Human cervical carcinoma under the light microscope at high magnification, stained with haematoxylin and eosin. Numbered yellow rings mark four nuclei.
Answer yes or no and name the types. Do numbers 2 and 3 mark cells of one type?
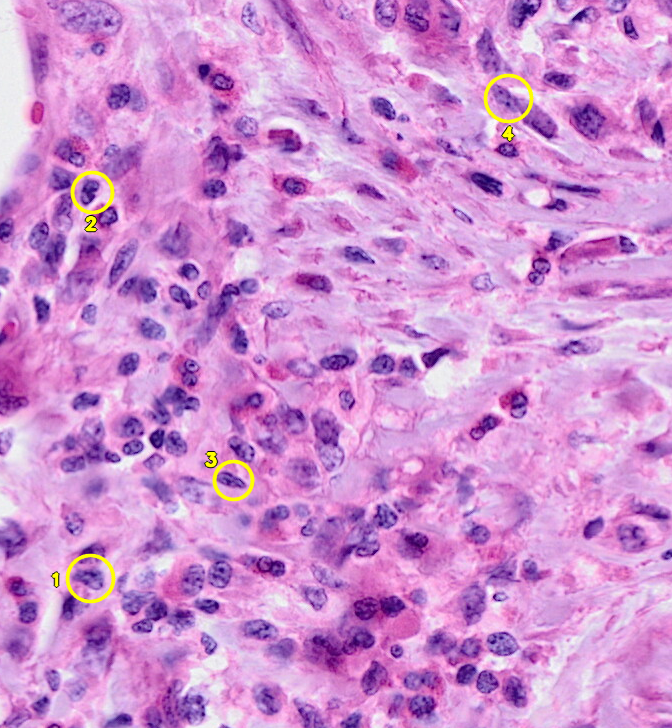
Yes, both are lymphocytes.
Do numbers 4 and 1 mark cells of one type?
No, cell 4 is a macrophage or monocyte and cell 1 is a lymphocyte.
